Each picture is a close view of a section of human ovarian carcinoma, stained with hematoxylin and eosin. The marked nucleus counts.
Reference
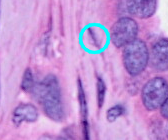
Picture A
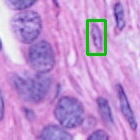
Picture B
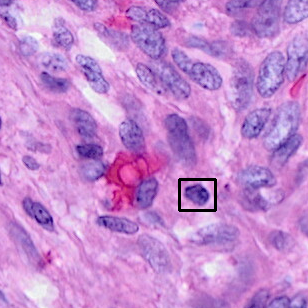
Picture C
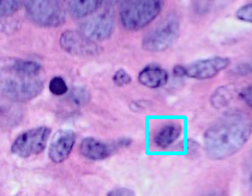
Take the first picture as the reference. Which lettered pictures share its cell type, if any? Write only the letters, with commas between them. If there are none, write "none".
A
